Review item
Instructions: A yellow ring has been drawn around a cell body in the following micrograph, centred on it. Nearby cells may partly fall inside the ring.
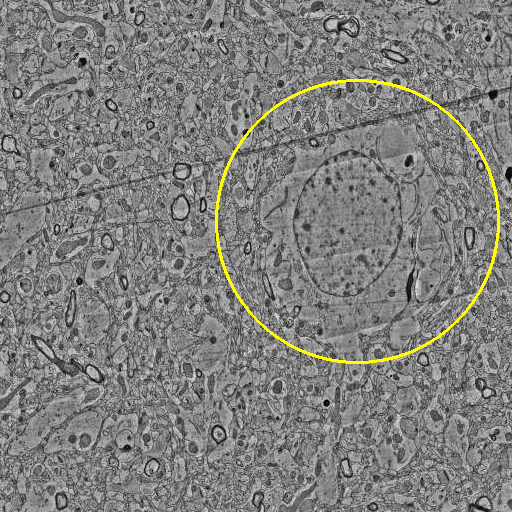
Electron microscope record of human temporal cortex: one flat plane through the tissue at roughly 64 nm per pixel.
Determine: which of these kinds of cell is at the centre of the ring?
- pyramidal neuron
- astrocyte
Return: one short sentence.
The cell body in the middle of the ring is that of an astrocyte.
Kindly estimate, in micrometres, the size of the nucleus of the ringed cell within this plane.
The nucleus works out at approximately 9 by 7 micrometres in this plane.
